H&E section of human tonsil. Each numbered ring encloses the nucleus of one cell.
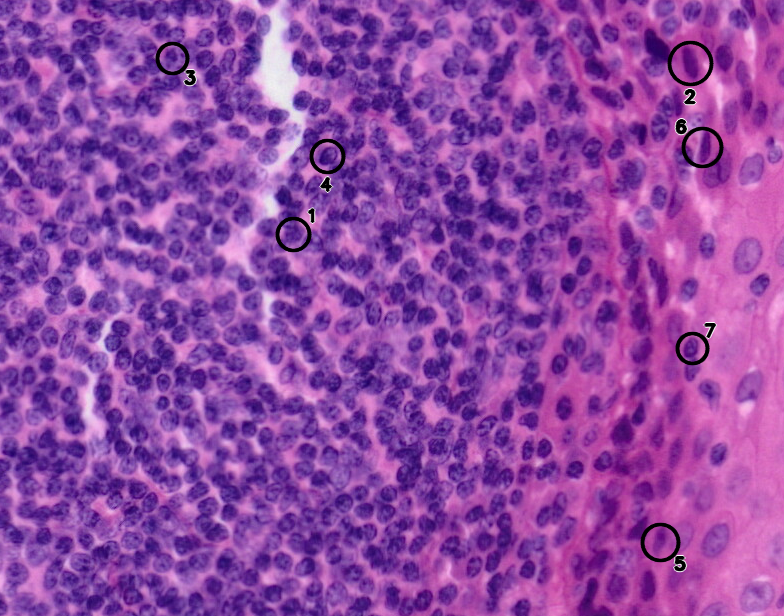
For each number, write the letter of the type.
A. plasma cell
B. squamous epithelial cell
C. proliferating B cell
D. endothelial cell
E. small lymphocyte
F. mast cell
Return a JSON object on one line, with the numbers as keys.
{"1": "E", "2": "B", "3": "E", "4": "E", "5": "B", "6": "B", "7": "B"}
